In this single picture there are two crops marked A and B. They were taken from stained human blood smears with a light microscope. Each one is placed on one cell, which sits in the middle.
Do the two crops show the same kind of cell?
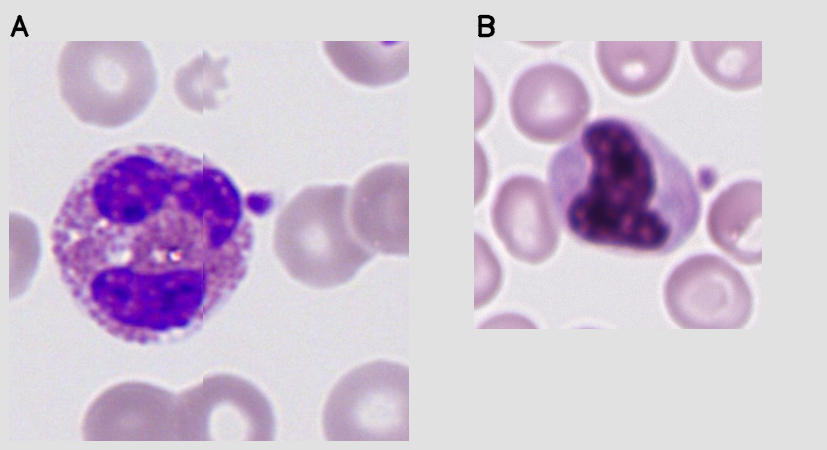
no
